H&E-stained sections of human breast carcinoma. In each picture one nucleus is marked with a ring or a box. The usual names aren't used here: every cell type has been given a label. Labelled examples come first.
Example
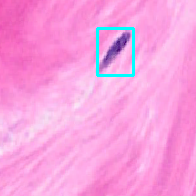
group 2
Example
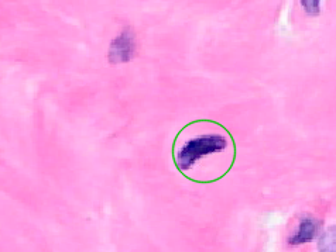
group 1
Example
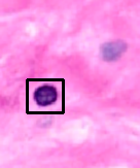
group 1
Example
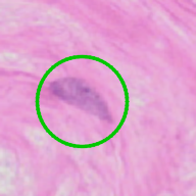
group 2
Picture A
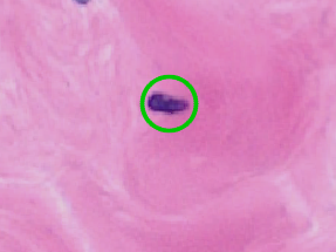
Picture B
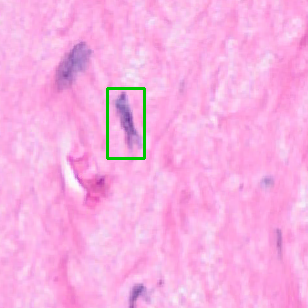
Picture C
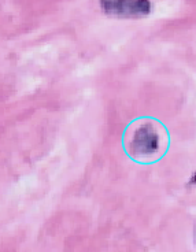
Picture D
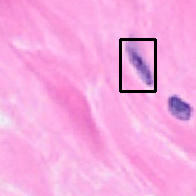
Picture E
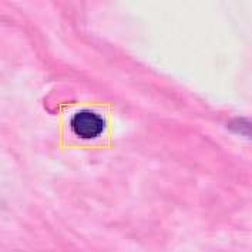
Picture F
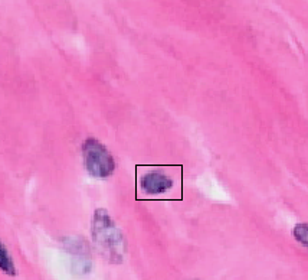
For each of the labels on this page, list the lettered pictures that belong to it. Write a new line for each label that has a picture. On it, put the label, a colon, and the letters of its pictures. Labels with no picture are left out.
group 2: B, D
group 1: A, C, E, F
